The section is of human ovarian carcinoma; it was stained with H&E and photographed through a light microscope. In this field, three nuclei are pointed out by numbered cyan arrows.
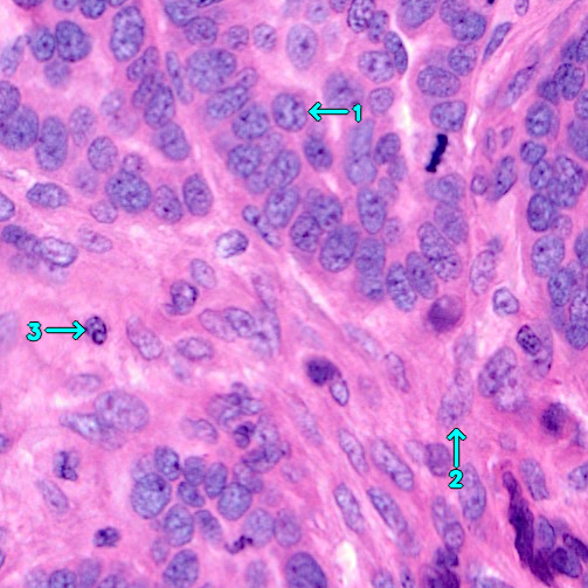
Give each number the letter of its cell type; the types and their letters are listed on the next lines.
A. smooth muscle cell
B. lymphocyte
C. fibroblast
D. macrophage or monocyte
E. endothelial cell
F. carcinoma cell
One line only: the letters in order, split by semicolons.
F; C; B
